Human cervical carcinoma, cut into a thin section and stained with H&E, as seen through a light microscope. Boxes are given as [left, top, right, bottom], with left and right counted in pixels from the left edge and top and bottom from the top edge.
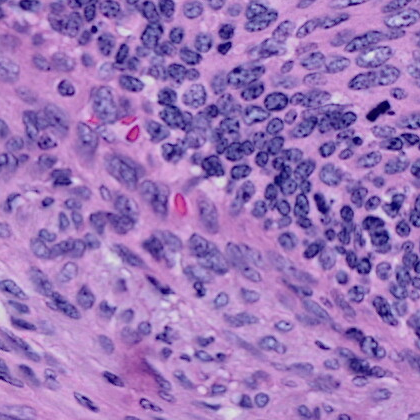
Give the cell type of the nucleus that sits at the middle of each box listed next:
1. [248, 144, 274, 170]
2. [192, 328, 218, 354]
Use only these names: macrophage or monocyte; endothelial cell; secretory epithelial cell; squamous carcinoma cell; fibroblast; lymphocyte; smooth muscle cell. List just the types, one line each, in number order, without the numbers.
squamous carcinoma cell
smooth muscle cell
